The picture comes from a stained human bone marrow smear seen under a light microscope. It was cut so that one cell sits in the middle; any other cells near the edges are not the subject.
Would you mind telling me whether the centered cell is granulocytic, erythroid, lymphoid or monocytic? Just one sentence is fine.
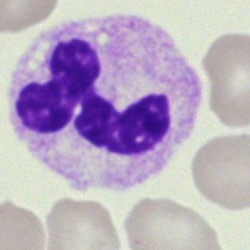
Designated granulocytic in lineage is the cell at the center of the crop.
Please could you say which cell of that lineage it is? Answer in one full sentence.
The centrally located cell in the crop is a segmented neutrophil.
